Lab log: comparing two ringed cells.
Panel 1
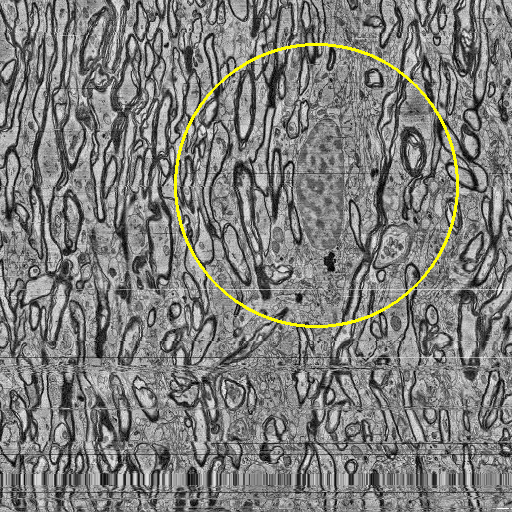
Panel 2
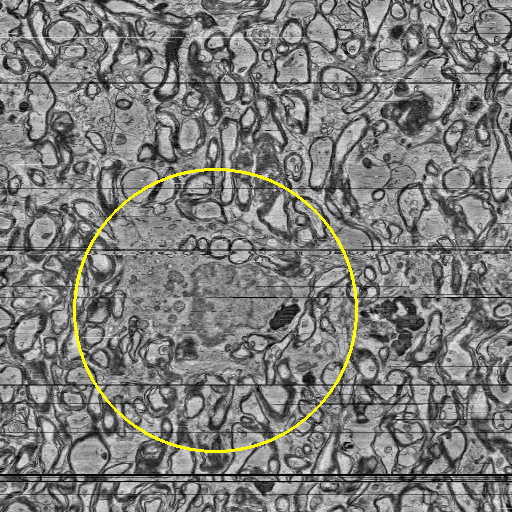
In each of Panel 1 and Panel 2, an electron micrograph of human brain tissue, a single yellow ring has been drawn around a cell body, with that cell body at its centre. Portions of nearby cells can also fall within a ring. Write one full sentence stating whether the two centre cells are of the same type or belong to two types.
The cells at the ring centres in Panel 1 and Panel 2 belong to two types.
